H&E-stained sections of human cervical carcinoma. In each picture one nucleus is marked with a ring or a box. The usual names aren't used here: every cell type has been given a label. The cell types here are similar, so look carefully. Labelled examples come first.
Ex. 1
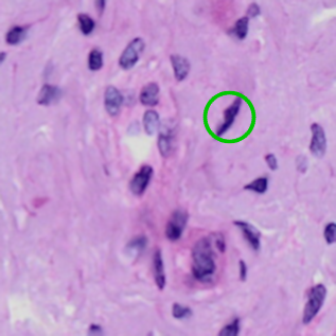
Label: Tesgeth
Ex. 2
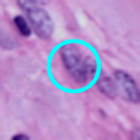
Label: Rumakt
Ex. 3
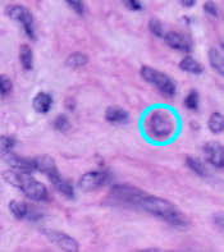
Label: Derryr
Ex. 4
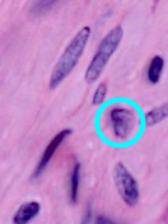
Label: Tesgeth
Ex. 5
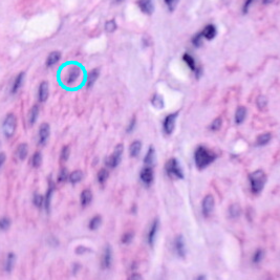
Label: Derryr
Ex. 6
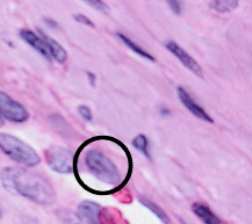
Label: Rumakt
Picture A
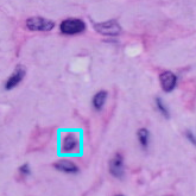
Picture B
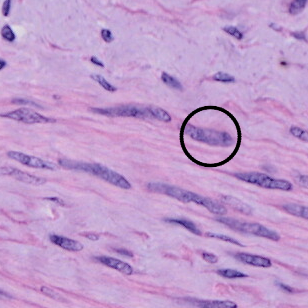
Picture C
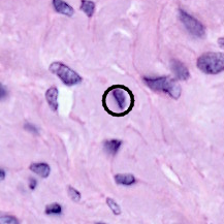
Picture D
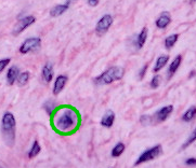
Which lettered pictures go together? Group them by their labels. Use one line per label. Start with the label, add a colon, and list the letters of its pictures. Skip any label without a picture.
Tesgeth: C
Derryr: A, B, D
